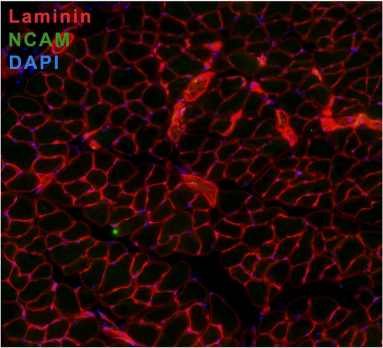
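Cross-section of skeletal muscle: myofibers packed in a polygonal array, each bounded by a thin red border. Blue nuclei are sparse and sit at the edges of fibres, against the red borders. Dark clefts run between fibre groups. Green fluorescence is essentially absent apart from a single small spot.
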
